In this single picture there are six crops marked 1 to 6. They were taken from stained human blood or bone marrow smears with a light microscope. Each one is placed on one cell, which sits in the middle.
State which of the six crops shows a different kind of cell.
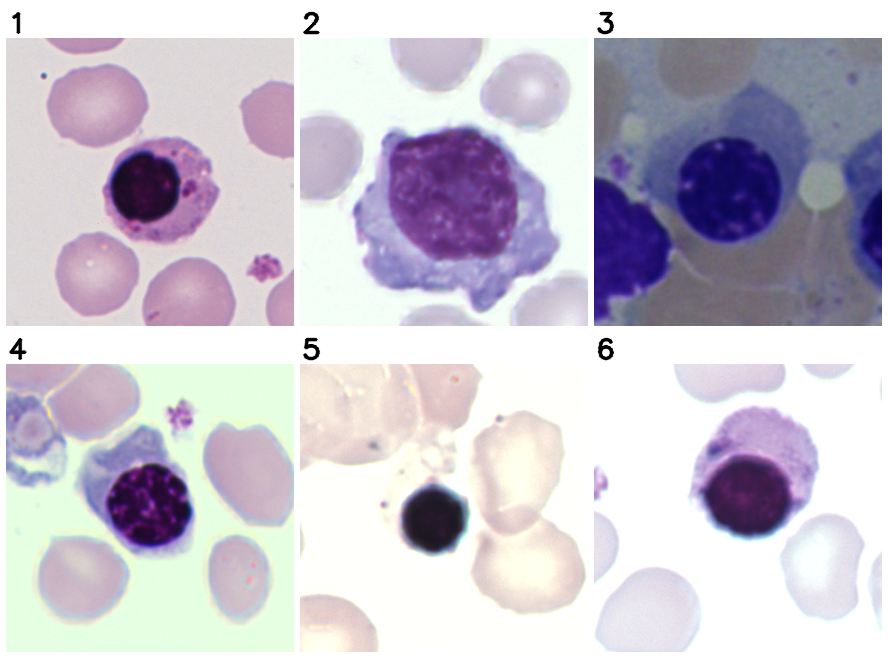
2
